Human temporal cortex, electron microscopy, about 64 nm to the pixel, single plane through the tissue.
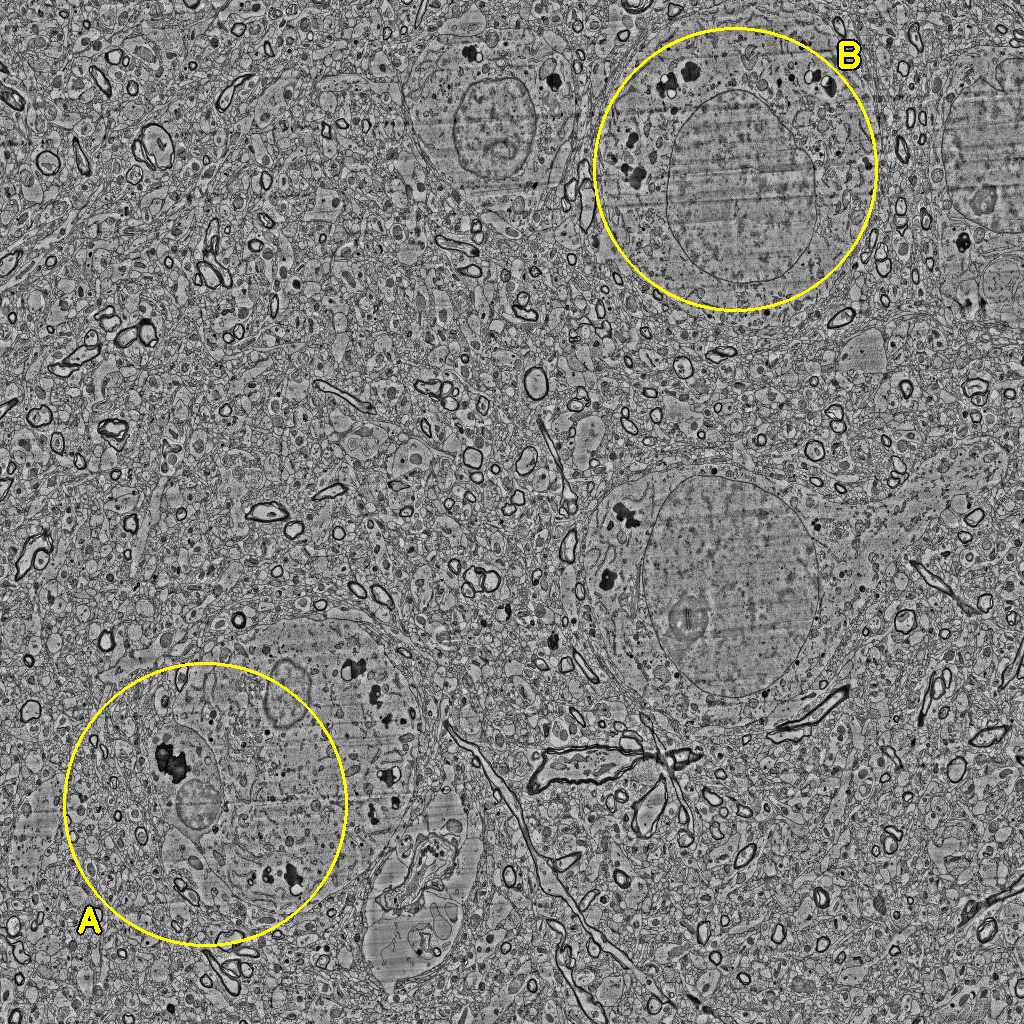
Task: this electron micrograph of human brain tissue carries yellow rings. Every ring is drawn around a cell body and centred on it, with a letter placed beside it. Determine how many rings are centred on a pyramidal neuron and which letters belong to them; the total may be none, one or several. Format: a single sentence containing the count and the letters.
The ring lettered B is the single one among them centred on a pyramidal neuron.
